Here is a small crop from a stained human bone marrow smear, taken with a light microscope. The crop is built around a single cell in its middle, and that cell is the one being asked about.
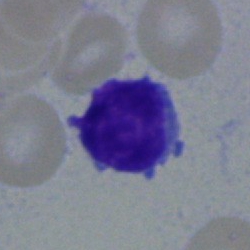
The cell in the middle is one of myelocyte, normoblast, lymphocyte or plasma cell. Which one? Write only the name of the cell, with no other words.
lymphocyte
